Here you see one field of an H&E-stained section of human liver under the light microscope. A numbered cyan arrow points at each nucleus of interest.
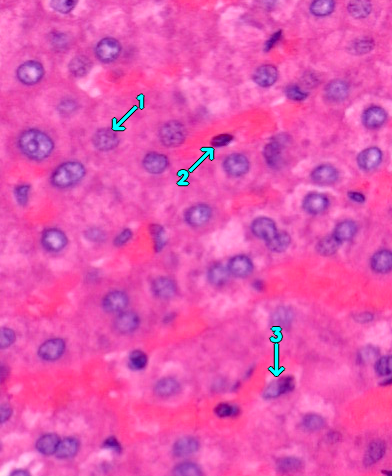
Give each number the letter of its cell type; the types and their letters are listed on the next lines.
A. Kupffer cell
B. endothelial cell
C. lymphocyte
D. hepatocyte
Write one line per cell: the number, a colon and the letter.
1: D
2: C
3: A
